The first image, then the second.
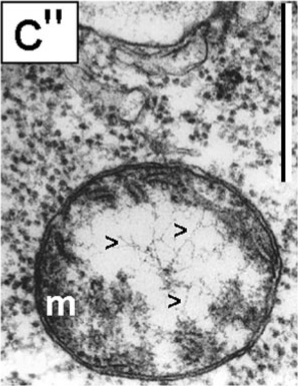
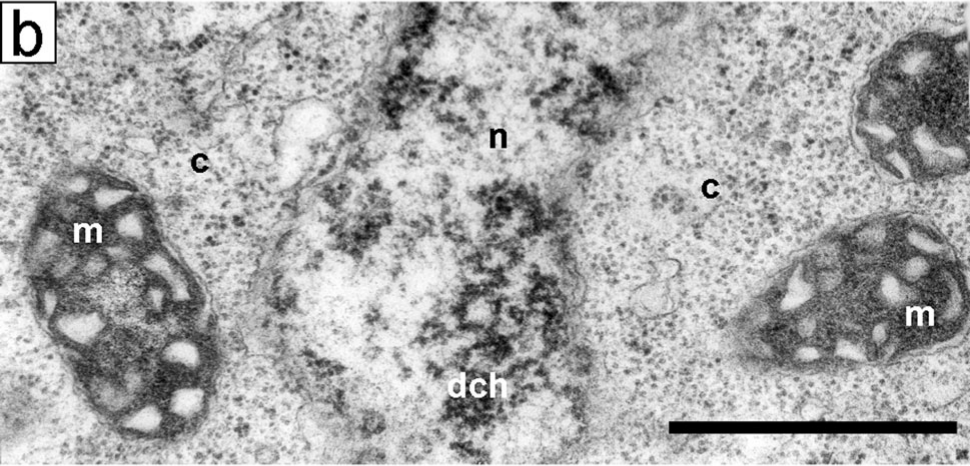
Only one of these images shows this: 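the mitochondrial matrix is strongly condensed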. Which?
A: the second image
